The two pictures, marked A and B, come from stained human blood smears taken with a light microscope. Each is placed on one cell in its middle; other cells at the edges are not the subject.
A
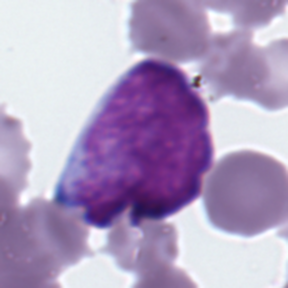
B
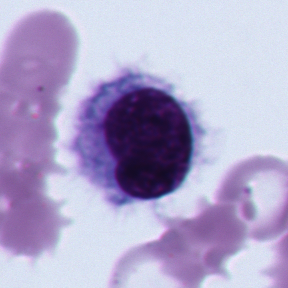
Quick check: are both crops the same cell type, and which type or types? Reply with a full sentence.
No, crop A shows a myeloblast and crop B a hairy cell.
